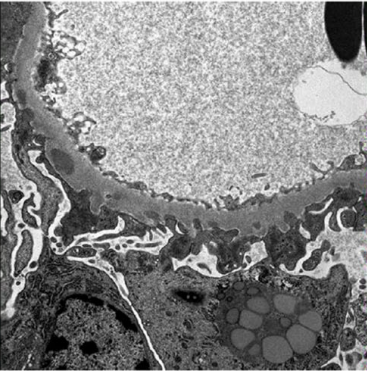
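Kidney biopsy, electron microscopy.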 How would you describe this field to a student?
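This electron micrograph shows a glomerular capillary wall, with the finely granular lumen above and the epithelial cell below. The basement membrane appears as a grey band, and along its outer, epithelial side lie dark, dense deposits. The overlying epithelial cytoplasm spreads as a continuous sheet over the membrane rather than as separate foot processes.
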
